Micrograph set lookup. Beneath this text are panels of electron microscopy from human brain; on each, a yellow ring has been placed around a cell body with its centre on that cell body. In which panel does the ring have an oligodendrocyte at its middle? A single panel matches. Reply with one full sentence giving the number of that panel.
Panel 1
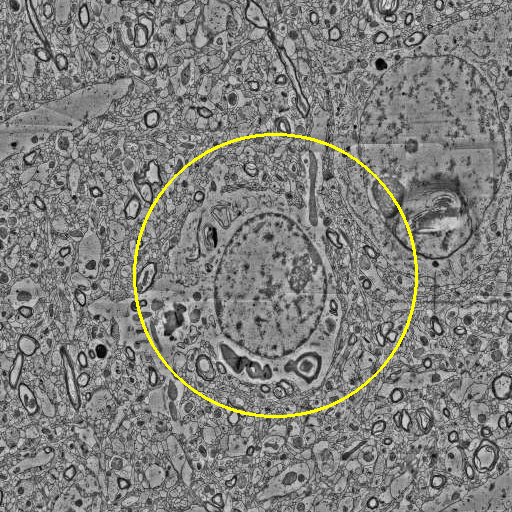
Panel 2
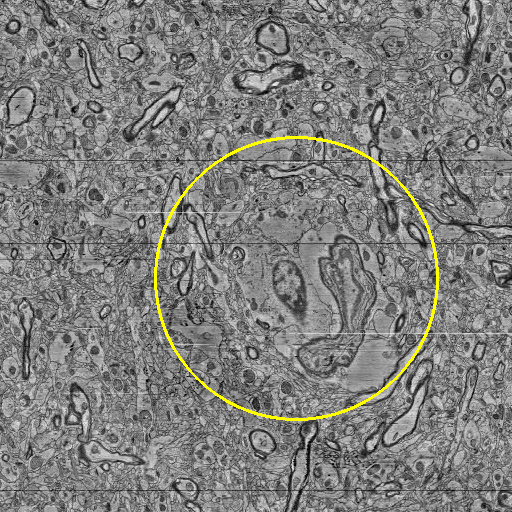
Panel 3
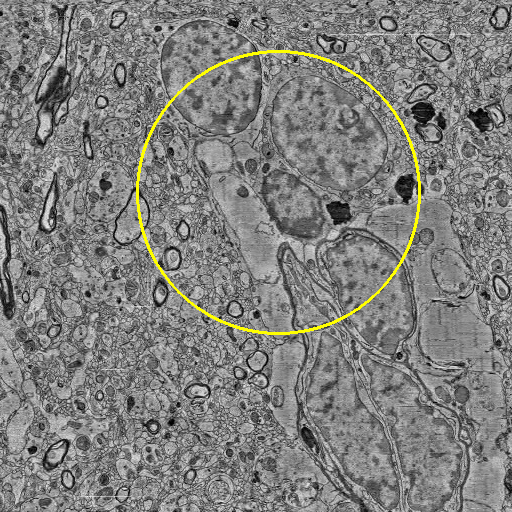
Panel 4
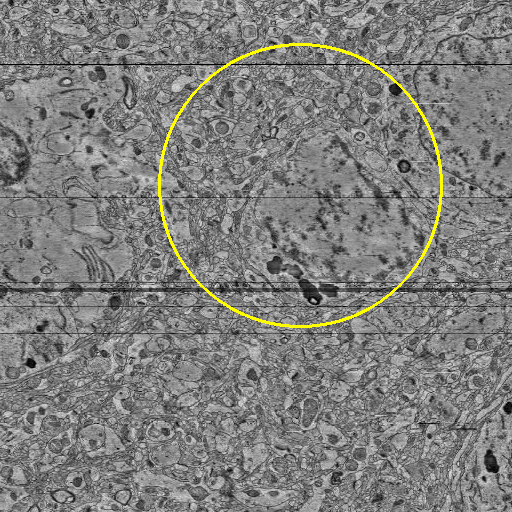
Panel 3 is the one whose ring has the sought cell at its centre.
